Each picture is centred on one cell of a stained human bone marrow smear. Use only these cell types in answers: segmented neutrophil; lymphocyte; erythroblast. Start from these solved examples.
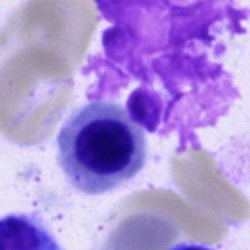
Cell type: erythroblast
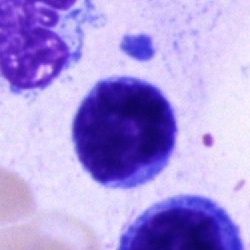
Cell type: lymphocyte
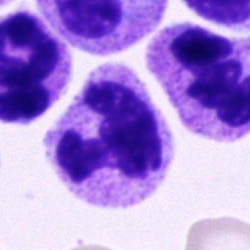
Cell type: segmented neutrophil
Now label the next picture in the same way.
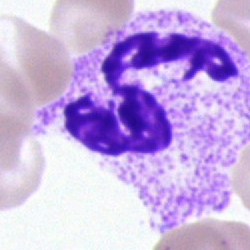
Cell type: segmented neutrophil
